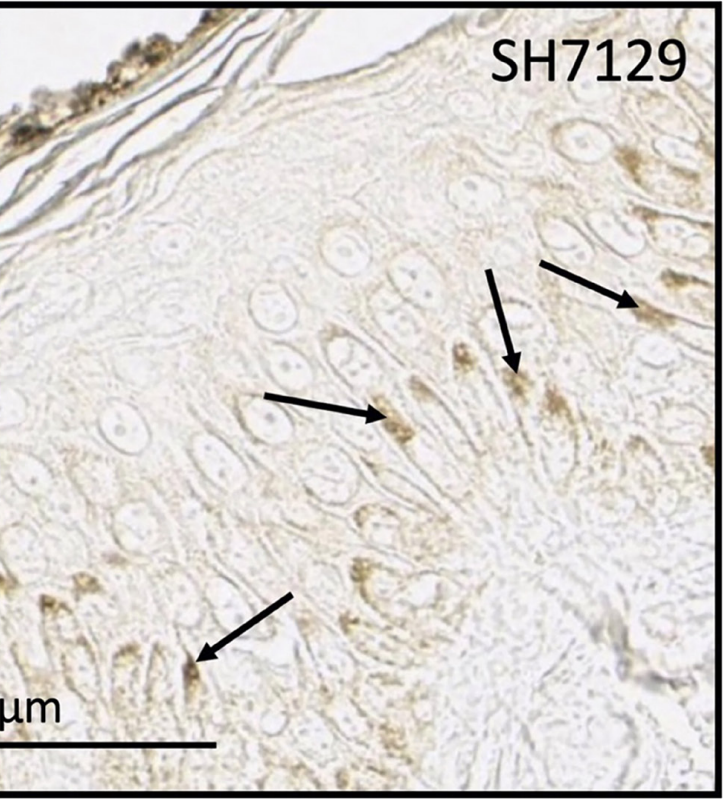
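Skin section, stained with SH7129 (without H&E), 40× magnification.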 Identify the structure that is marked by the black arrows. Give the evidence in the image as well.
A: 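The arrows point to small brown granular deposits. The deposits lie at one end of elongated cells arranged side by side. The rest of the tissue is almost colourless.
Melanin.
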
